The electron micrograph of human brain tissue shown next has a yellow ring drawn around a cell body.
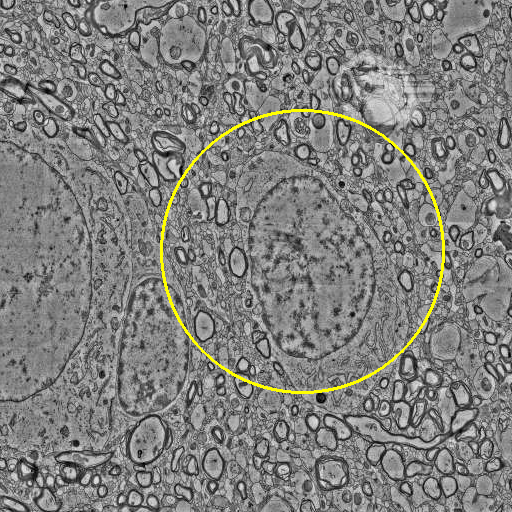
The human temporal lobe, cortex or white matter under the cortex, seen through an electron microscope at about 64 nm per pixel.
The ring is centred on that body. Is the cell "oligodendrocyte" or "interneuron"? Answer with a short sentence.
The cell in question is an interneuron.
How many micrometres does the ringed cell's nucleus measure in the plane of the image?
About 12 micrometres by about 8 micrometres in this plane.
